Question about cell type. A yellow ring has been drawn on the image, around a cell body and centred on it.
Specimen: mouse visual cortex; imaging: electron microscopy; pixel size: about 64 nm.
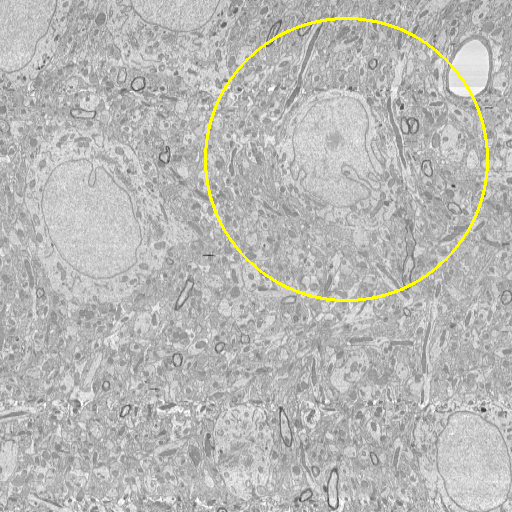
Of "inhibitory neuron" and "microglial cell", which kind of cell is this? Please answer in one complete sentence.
At the centre of the ring lies an inhibitory neuron.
